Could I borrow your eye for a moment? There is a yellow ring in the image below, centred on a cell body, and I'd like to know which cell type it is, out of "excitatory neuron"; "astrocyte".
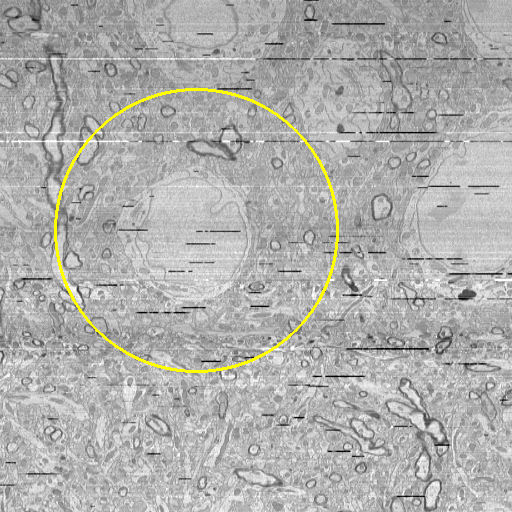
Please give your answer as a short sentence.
The cell body at the centre is that of an excitatory neuron.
